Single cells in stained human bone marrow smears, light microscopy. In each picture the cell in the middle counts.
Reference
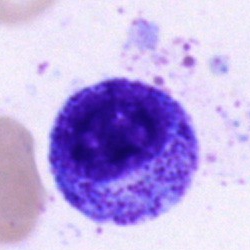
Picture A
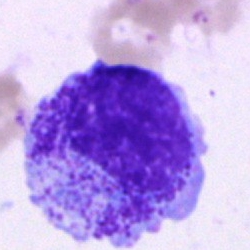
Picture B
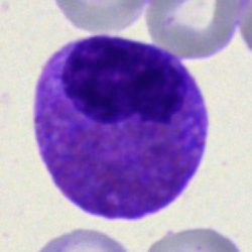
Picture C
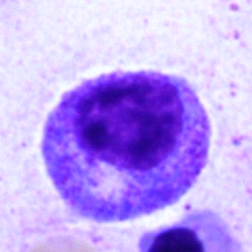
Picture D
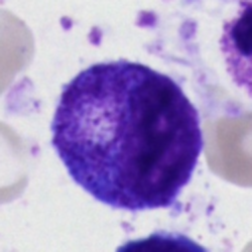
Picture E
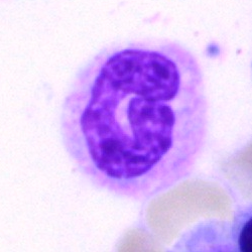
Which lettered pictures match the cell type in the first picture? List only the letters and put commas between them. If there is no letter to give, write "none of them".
A, C, D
